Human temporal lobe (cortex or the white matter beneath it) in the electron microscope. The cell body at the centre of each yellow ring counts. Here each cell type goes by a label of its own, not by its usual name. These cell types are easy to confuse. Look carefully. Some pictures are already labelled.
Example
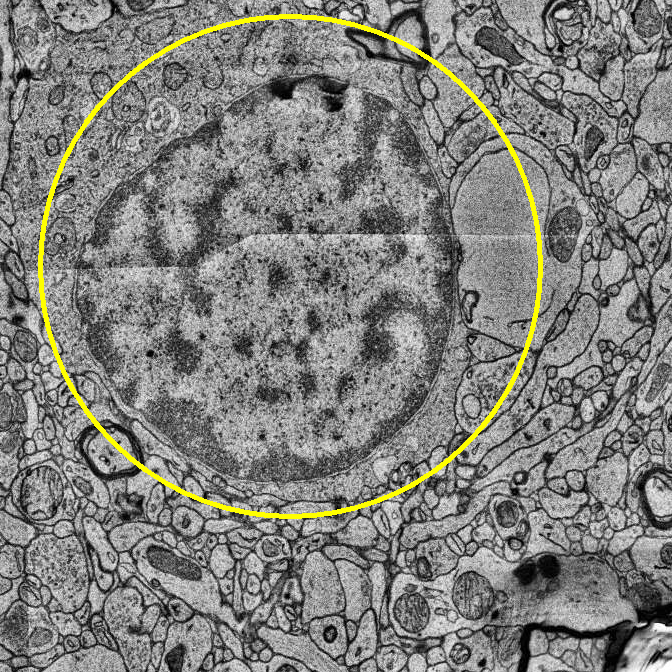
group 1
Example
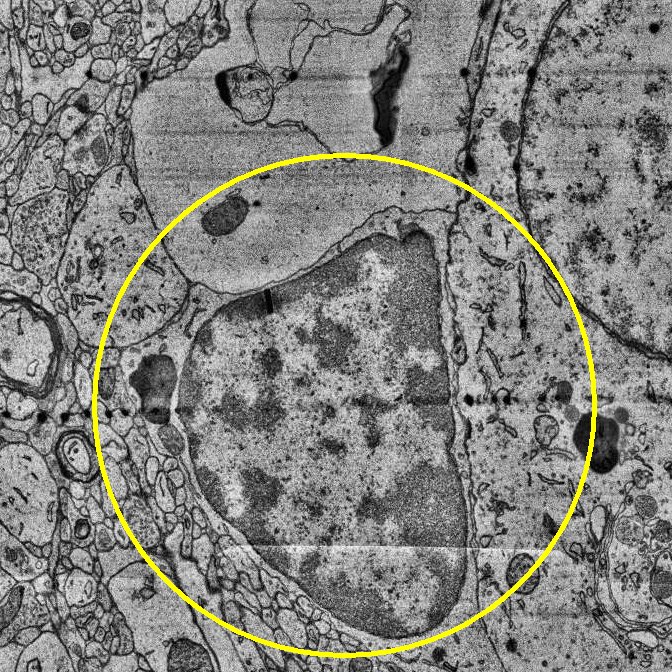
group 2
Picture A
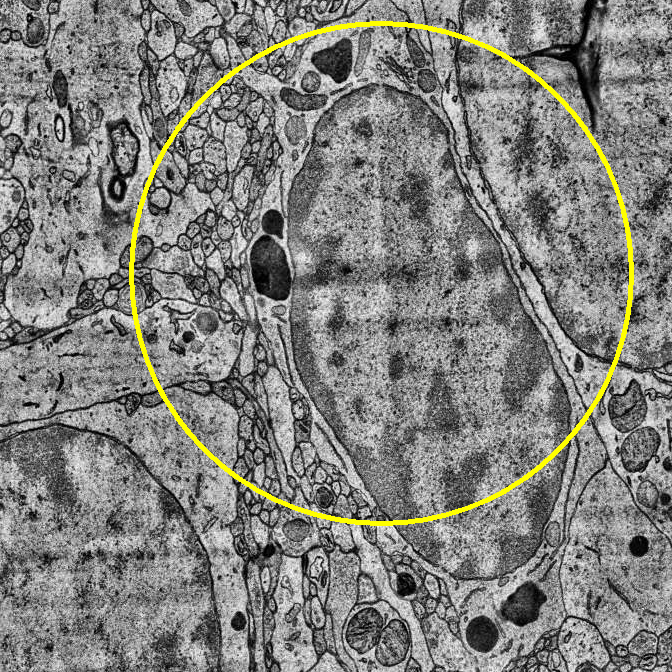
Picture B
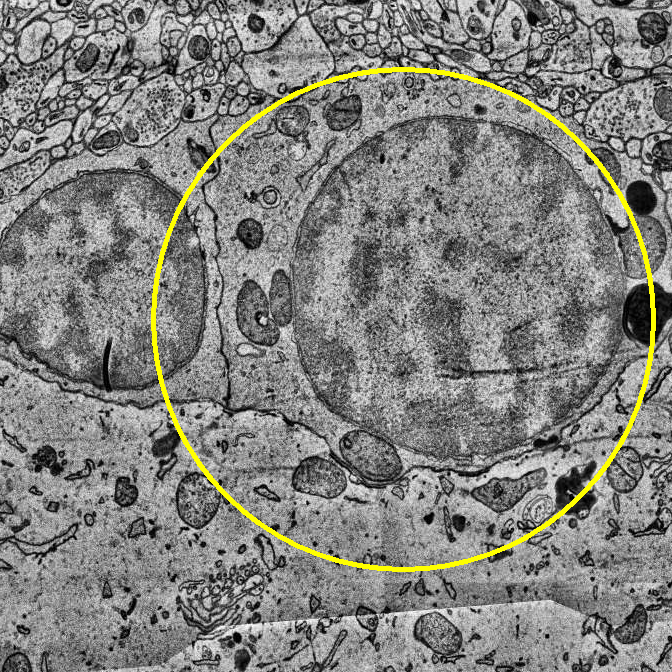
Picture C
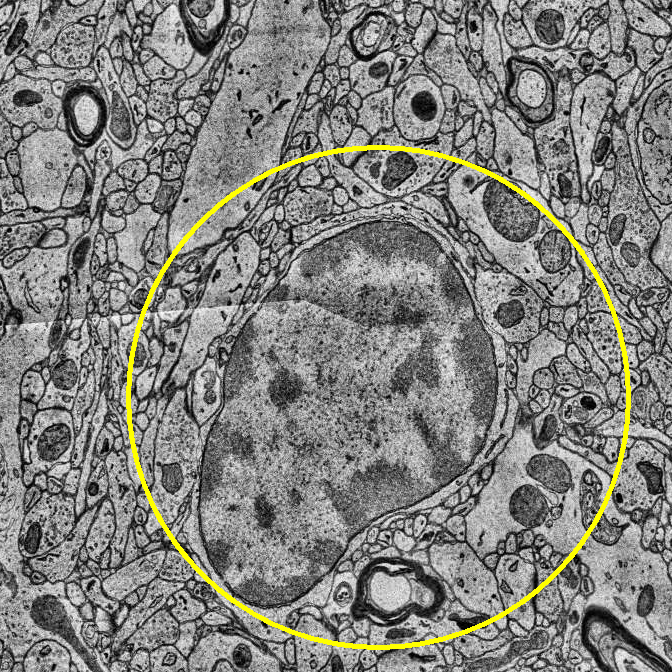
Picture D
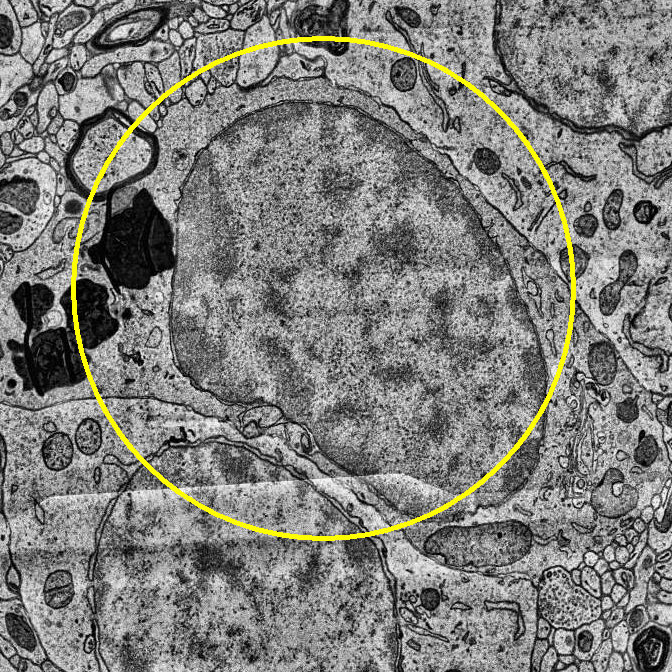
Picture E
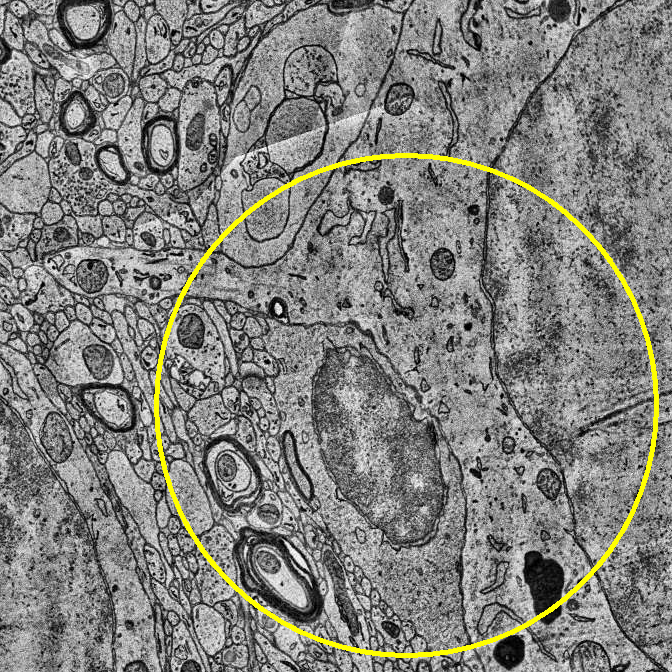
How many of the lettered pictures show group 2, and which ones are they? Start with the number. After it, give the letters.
2: A, C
